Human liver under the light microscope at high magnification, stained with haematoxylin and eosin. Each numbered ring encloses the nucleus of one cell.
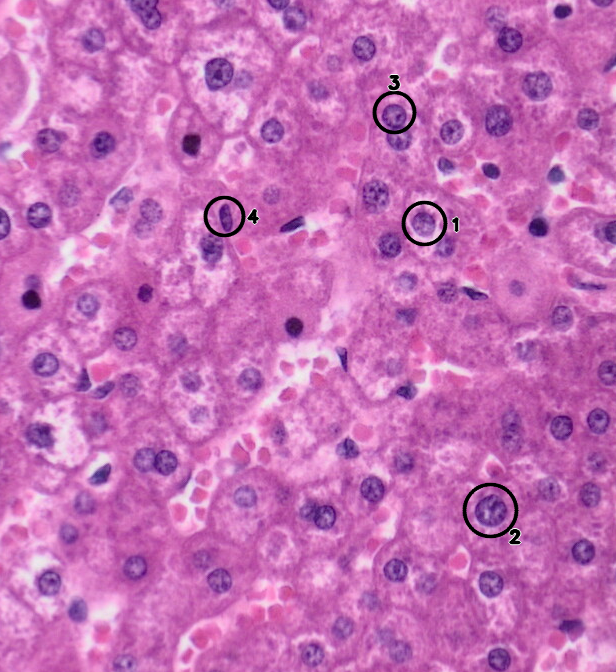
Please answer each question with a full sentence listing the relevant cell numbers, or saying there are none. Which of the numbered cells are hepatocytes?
The cells that the numbers 1, 2 and 3 belong to are hepatocytes.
